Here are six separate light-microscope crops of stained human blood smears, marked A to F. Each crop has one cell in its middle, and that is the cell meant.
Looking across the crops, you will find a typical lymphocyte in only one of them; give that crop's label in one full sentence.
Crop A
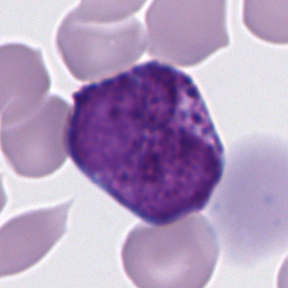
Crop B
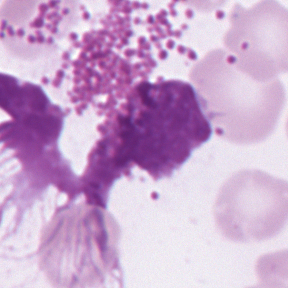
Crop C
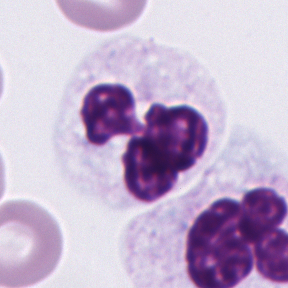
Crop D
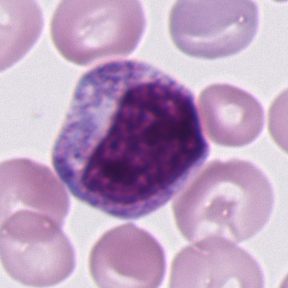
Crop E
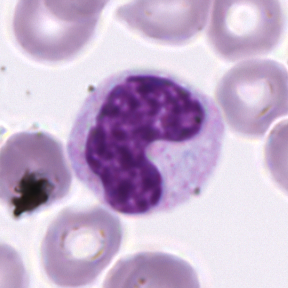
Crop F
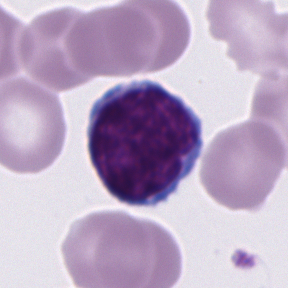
Crop F, of the crops presented, is the one showing a typical lymphocyte.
